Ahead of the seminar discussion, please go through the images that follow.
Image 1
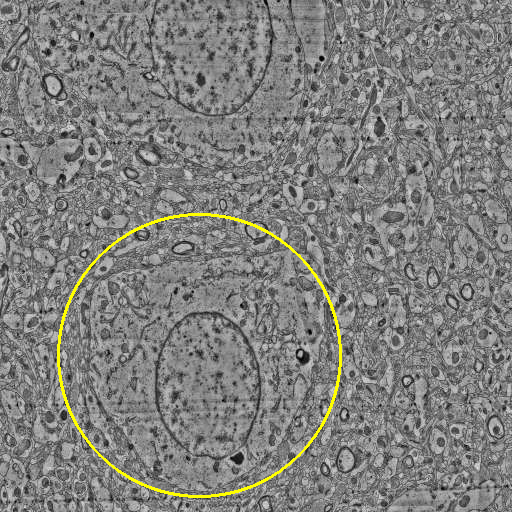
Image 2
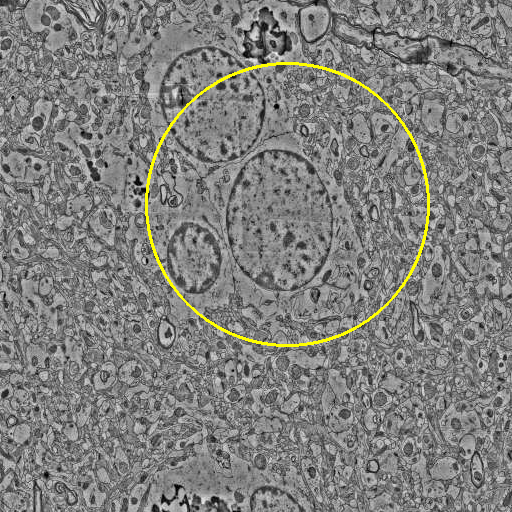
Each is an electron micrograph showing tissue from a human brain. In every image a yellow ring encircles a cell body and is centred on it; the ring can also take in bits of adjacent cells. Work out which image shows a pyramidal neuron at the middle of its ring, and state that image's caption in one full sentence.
In Image 1, the ring's centre holds the cell you are looking for.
